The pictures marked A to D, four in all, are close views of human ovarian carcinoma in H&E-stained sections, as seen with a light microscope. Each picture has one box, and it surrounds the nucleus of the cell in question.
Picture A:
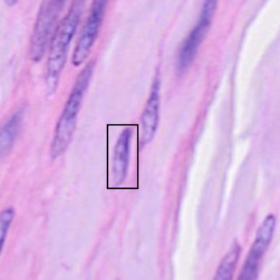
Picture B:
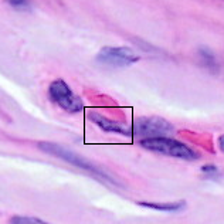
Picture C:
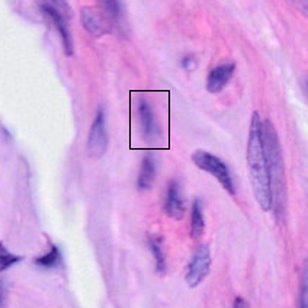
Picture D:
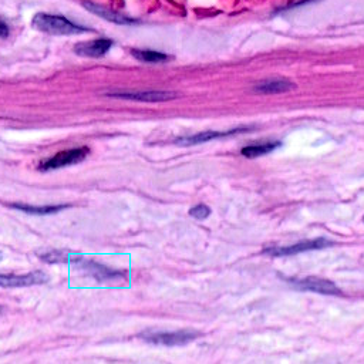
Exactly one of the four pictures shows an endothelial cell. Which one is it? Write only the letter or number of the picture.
B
